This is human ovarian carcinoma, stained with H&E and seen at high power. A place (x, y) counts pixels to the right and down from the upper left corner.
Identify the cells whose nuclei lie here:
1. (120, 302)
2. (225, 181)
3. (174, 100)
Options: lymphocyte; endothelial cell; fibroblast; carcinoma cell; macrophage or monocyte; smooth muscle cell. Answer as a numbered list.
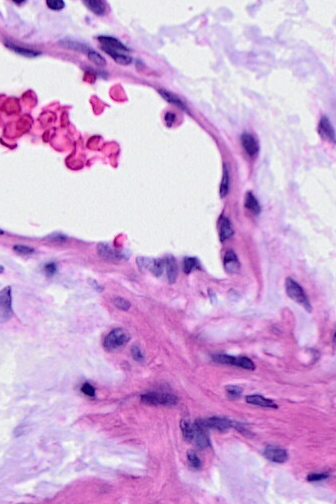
1. smooth muscle cell
2. endothelial cell
3. endothelial cell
